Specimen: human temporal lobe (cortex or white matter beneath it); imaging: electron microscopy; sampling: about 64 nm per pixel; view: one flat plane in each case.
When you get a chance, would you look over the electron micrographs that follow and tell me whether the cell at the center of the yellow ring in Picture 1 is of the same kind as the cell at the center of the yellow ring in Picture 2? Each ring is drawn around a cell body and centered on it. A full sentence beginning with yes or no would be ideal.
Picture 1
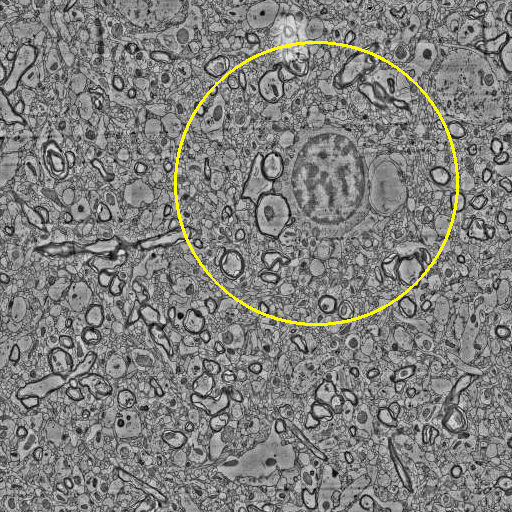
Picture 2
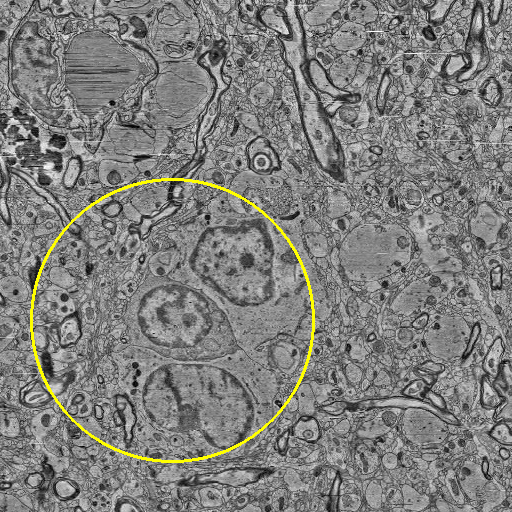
Yes, the two cells are of the same kind.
